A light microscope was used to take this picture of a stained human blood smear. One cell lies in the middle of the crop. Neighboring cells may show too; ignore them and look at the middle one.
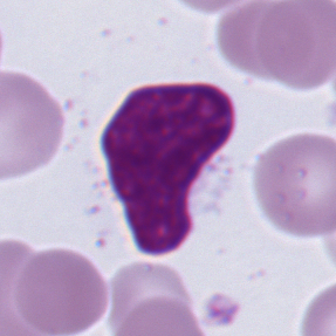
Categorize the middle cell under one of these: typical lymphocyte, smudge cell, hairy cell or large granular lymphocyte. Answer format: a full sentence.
The middle of this crop holds a smudge cell.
